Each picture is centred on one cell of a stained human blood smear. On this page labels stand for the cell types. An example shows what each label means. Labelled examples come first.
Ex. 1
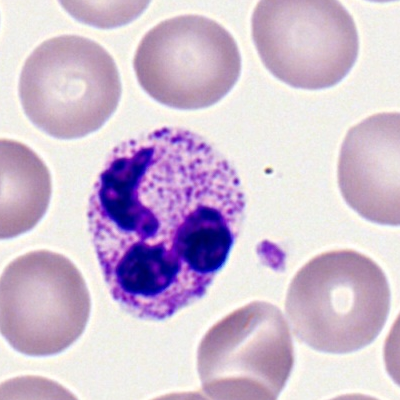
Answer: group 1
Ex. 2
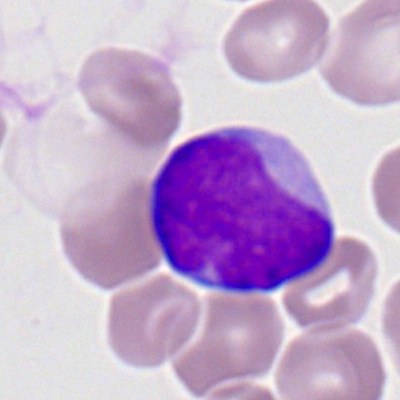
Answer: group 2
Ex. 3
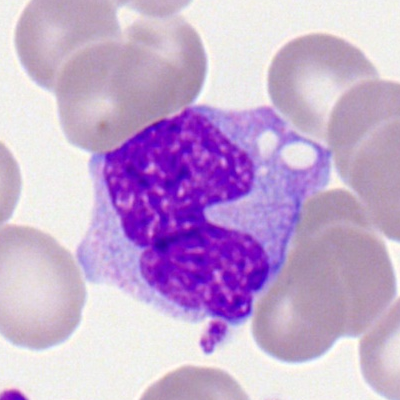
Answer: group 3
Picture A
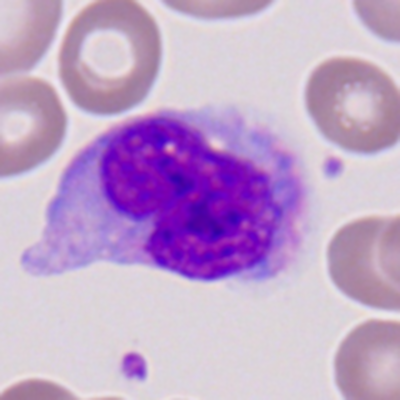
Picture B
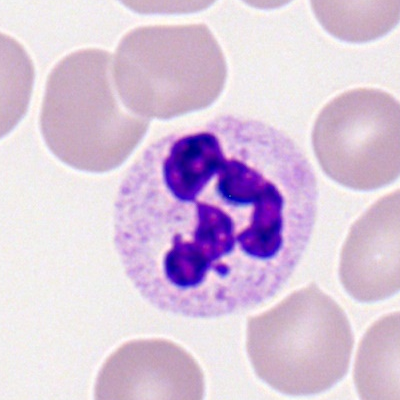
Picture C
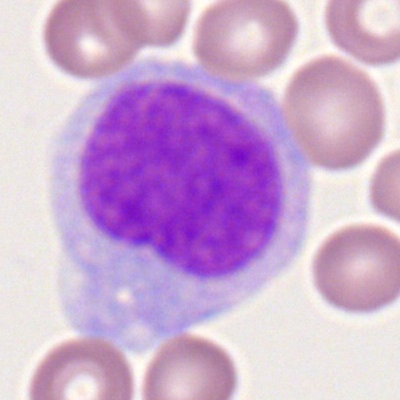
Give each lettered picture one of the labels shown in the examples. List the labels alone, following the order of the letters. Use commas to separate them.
group 3, group 1, group 2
